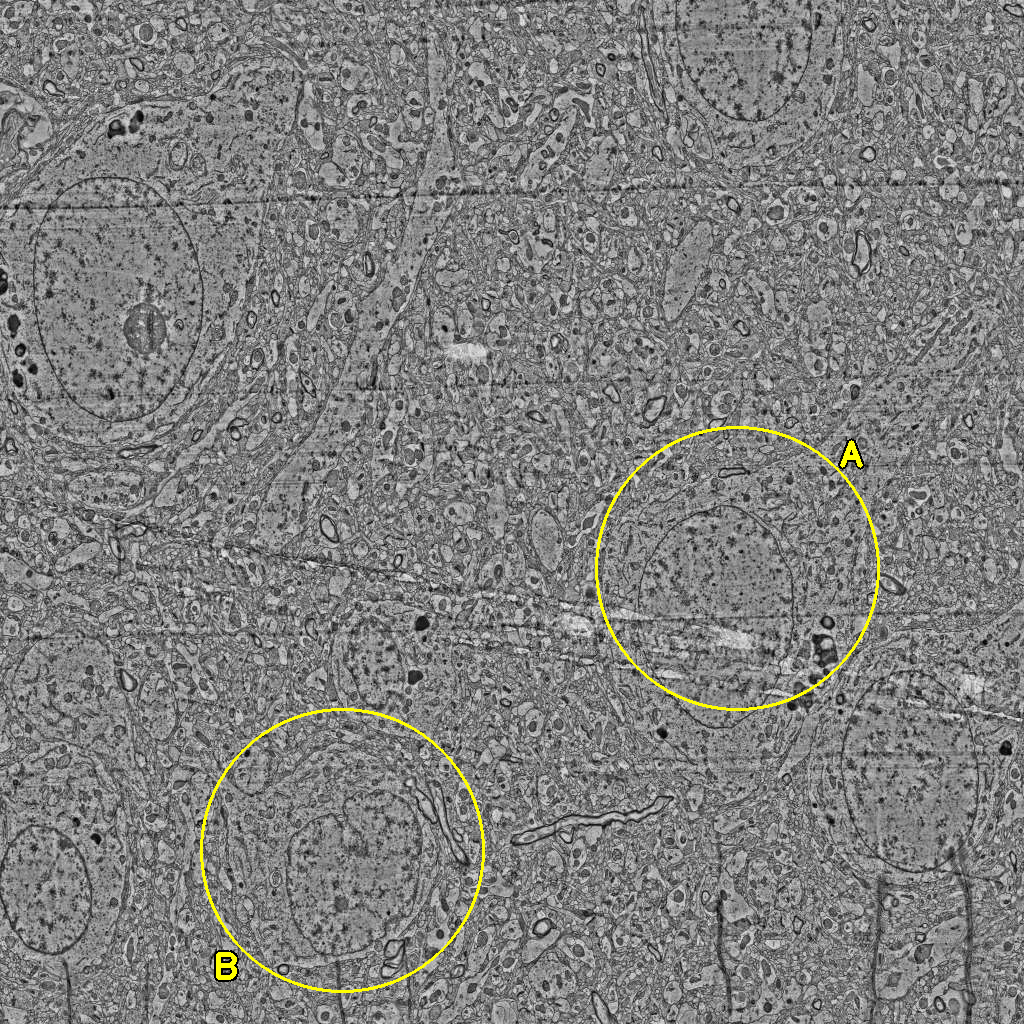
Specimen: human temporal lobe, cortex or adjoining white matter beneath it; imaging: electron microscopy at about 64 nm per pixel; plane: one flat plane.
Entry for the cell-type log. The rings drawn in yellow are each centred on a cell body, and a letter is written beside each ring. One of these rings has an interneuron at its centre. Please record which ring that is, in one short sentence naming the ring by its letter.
Ring B is centred on it.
